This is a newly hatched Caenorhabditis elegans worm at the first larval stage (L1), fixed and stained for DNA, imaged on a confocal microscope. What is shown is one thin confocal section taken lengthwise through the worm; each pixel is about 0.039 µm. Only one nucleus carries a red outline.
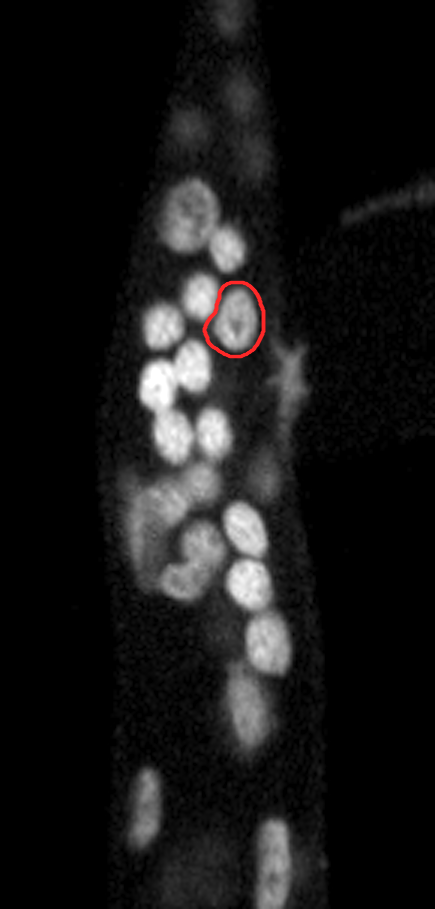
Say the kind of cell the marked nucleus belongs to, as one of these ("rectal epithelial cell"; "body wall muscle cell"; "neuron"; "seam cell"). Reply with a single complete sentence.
The cell with the marked nucleus is a body wall muscle cell.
